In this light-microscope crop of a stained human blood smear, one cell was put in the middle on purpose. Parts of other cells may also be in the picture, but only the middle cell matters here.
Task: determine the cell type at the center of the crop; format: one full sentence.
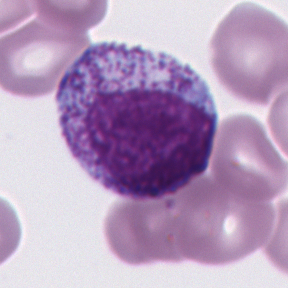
Within this crop, a myelocyte occupies the central position.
